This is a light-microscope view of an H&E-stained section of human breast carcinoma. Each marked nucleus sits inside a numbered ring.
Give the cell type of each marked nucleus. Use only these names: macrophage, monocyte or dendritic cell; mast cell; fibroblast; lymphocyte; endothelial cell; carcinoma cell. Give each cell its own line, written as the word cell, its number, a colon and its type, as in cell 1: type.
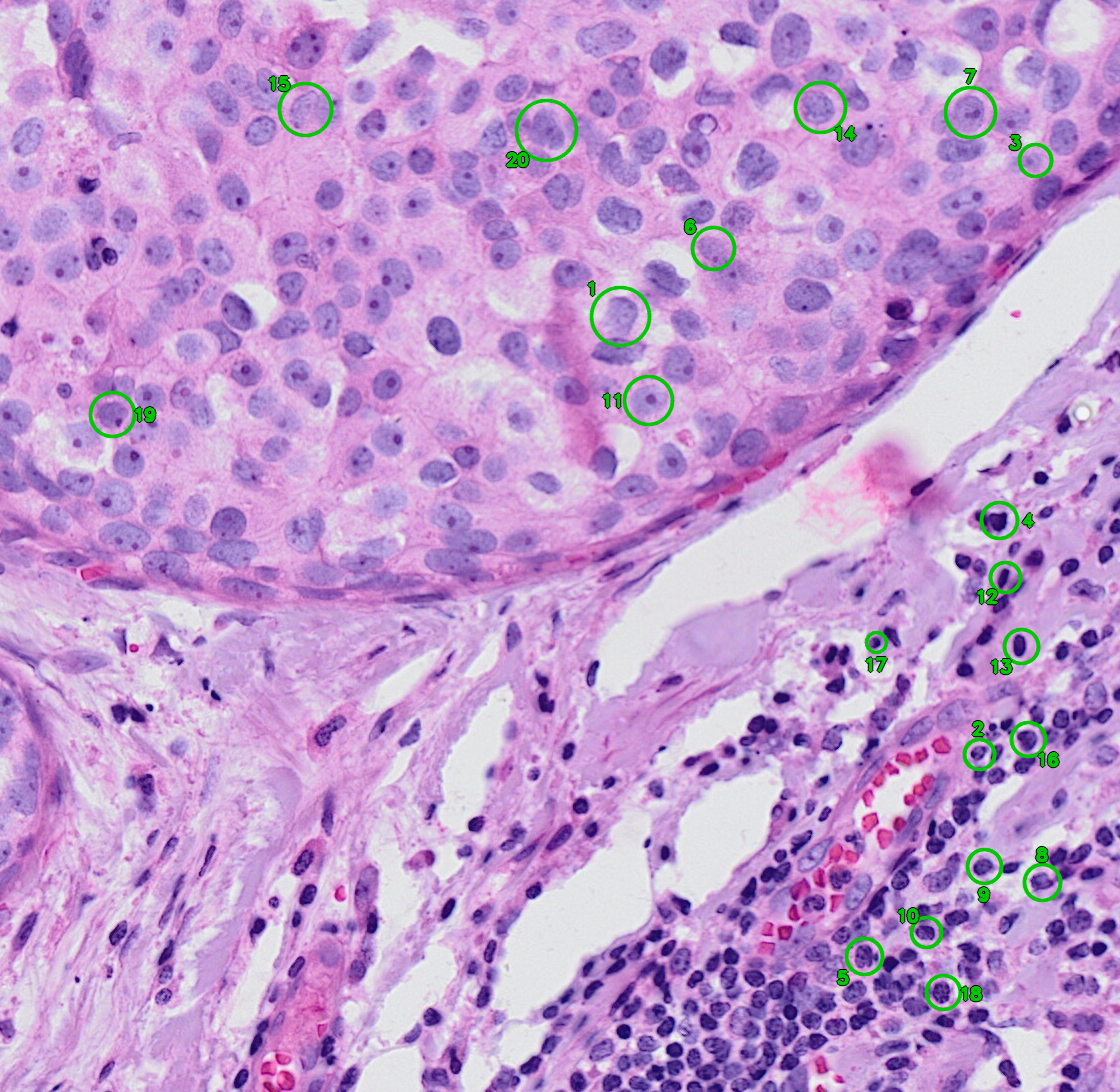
cell 1: carcinoma cell
cell 2: lymphocyte
cell 3: carcinoma cell
cell 4: lymphocyte
cell 5: lymphocyte
cell 6: carcinoma cell
cell 7: carcinoma cell
cell 8: lymphocyte
cell 9: lymphocyte
cell 10: lymphocyte
cell 11: carcinoma cell
cell 12: lymphocyte
cell 13: lymphocyte
cell 14: carcinoma cell
cell 15: carcinoma cell
cell 16: lymphocyte
cell 17: lymphocyte
cell 18: lymphocyte
cell 19: carcinoma cell
cell 20: carcinoma cell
